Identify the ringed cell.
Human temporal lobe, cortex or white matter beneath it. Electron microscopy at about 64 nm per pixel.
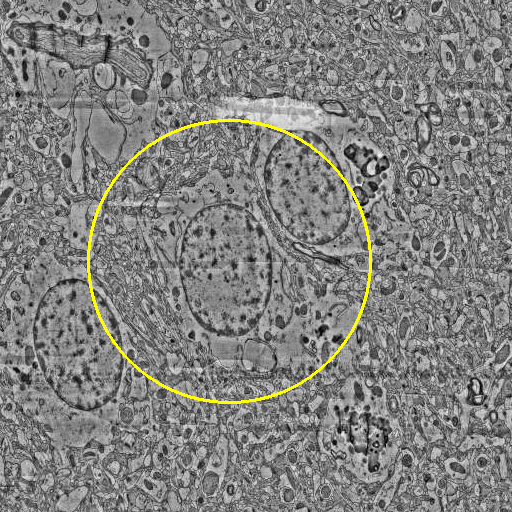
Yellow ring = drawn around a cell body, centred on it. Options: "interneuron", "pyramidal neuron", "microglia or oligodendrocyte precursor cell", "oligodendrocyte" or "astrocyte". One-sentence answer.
What the ring is centred on is an astrocyte.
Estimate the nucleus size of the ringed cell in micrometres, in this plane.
In this plane the nucleus measures roughly 8 by 6 micrometres.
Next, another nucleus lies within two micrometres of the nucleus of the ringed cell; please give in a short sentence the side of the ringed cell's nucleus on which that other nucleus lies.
The other nucleus appears to the upper right of it.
